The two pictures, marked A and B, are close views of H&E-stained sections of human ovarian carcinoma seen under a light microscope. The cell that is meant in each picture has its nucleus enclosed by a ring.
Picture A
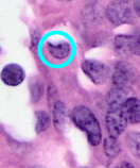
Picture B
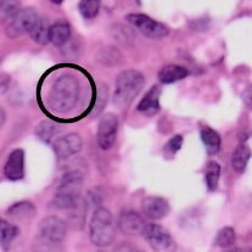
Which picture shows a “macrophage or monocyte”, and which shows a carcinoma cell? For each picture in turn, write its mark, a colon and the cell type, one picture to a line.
A: macrophage or monocyte
B: carcinoma cell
